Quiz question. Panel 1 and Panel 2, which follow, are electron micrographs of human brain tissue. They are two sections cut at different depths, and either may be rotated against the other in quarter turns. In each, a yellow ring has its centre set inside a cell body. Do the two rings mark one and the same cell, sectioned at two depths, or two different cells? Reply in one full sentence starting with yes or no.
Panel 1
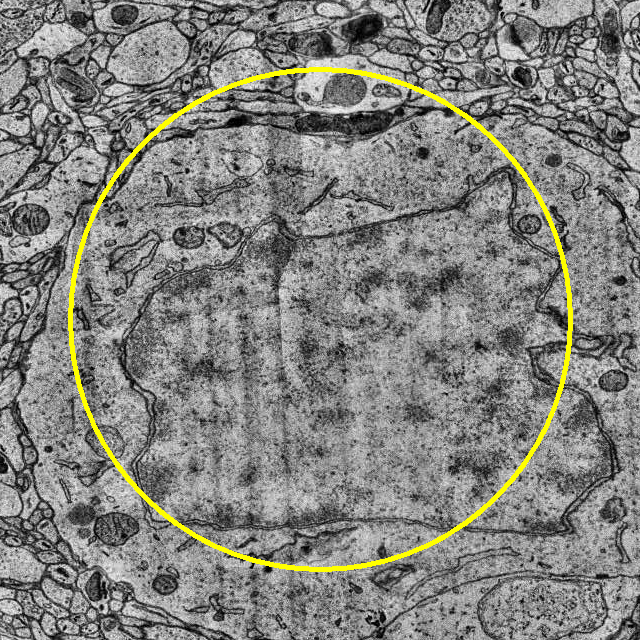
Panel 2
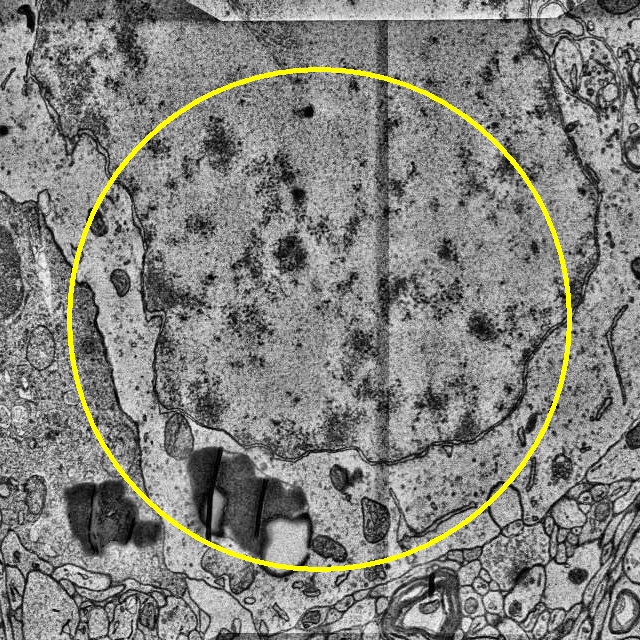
No, the yellow rings mark two separate cells, not one.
